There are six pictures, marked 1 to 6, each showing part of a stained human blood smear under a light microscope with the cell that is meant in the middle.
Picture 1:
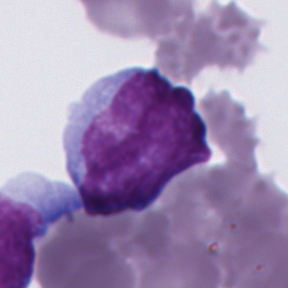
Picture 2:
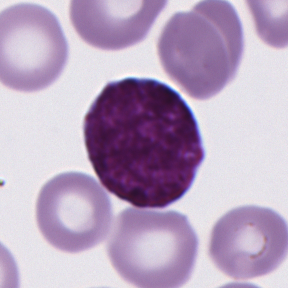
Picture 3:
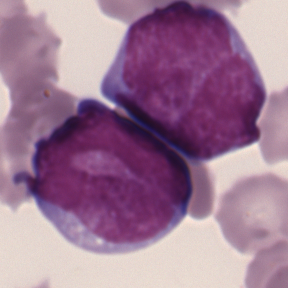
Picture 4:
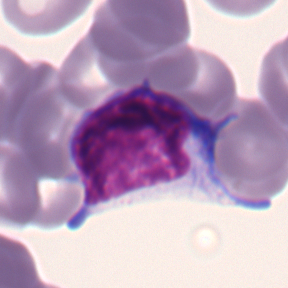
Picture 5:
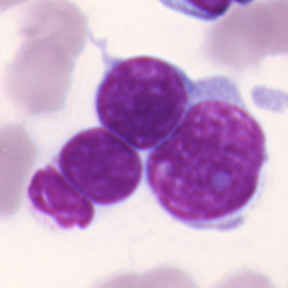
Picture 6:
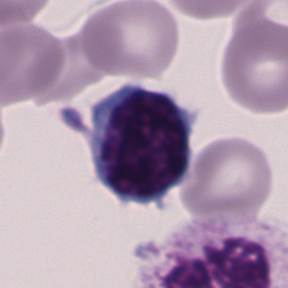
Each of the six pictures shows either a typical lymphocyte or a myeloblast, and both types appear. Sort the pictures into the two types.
1: myeloblast
2: myeloblast
3: myeloblast
4: typical lymphocyte
5: myeloblast
6: typical lymphocyte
